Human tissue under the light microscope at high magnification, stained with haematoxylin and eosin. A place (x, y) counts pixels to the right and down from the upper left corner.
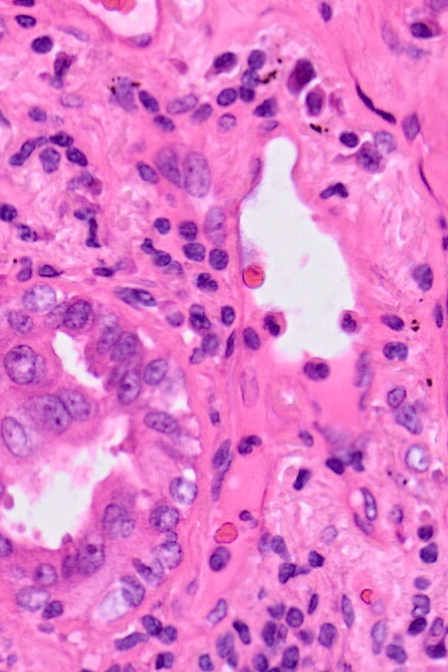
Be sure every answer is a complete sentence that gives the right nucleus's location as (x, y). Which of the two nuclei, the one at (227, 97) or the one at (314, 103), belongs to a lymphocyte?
The nucleus at (227, 97) is assigned to a lymphocyte.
